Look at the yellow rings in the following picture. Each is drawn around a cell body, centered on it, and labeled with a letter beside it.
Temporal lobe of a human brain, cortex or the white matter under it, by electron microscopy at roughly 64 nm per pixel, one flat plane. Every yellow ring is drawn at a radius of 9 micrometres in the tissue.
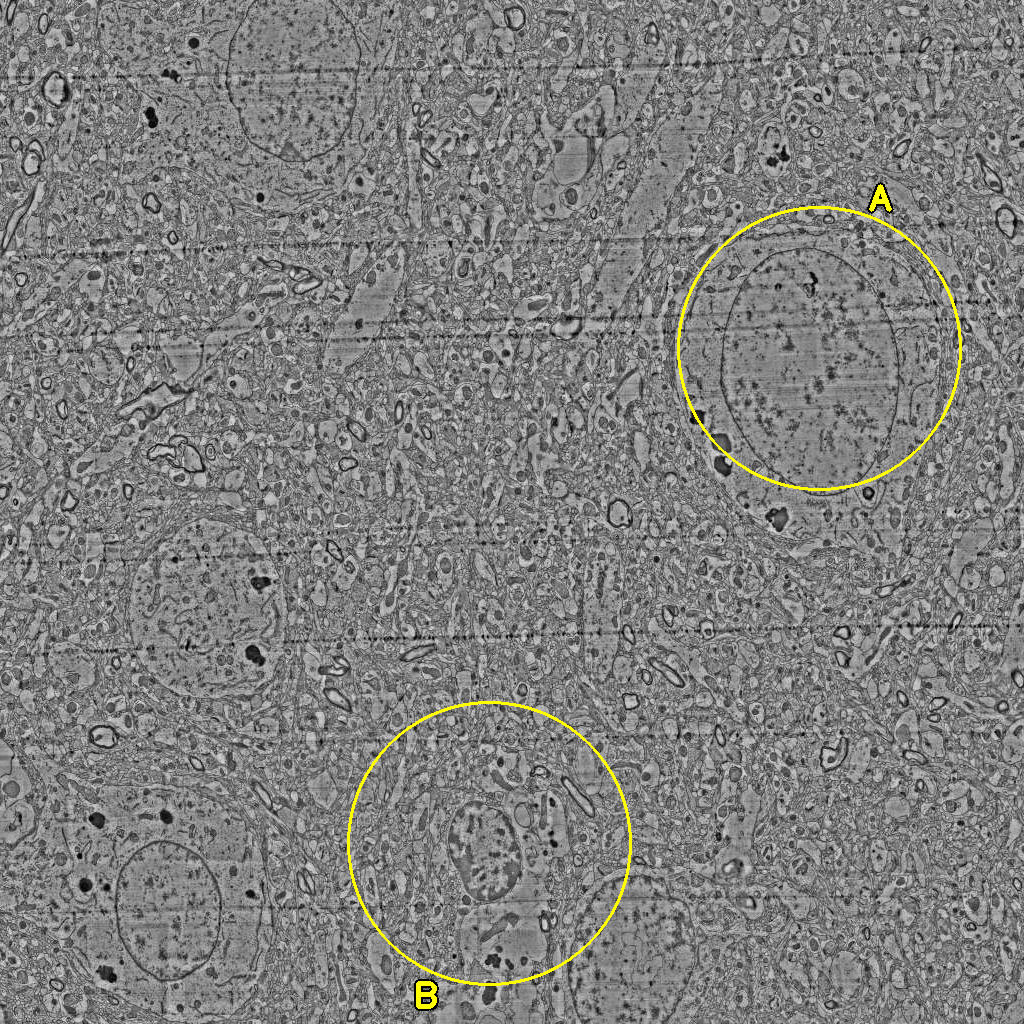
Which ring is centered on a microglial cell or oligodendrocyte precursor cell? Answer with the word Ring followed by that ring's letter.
Ring B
